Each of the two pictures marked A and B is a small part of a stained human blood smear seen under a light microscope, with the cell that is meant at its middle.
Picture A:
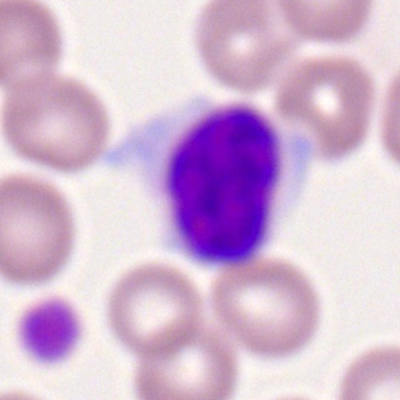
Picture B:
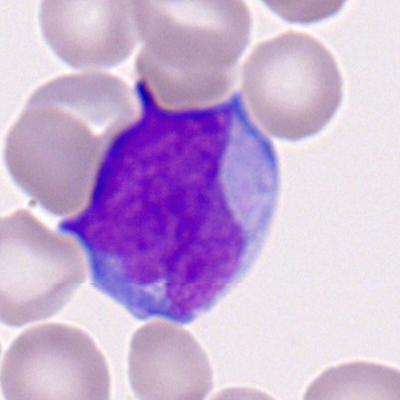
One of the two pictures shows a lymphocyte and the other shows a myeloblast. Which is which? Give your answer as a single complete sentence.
Picture A shows a lymphocyte and picture B shows a myeloblast.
